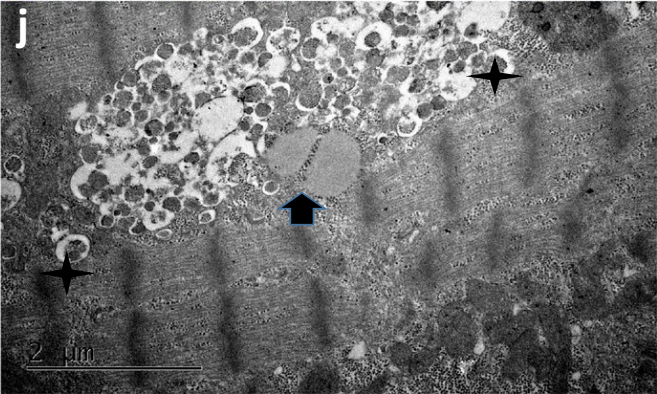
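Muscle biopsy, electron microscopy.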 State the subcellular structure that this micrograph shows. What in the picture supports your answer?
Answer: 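Autophagosomes. A large cluster of membrane-bound vesicles lies among the myofibrils. Many vesicles contain dense granular or membranous material. Some vesicles are clear and empty-looking, with curved membrane profiles.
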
